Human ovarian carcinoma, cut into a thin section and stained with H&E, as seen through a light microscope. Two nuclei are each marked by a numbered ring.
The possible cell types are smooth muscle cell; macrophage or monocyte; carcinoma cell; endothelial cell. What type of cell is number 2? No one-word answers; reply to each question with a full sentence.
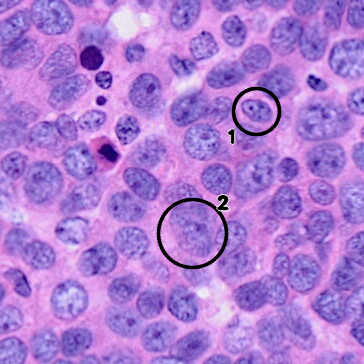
Cell 2 is classified as a carcinoma cell.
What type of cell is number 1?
The cell pointed out as number 1 is a macrophage or monocyte.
